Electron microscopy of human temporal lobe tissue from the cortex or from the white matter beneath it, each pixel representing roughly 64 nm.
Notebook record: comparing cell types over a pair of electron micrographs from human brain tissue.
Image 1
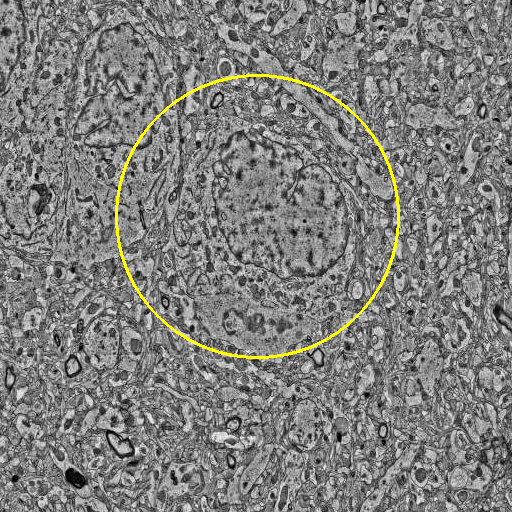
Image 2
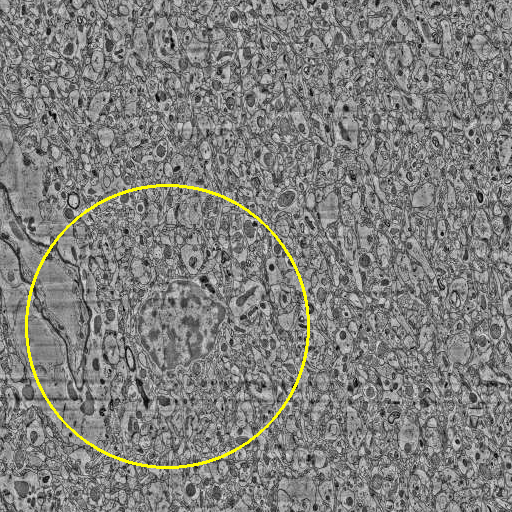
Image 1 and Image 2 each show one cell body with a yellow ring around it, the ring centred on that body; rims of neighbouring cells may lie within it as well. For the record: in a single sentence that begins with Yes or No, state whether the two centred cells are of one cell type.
No, two cell types are found among the centred cells of Image 1 and Image 2.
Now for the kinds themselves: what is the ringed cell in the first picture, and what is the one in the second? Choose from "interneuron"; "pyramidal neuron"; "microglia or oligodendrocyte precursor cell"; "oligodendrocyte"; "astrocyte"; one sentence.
Here the first cell is an interneuron and the second cell is a microglial cell or oligodendrocyte precursor cell.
